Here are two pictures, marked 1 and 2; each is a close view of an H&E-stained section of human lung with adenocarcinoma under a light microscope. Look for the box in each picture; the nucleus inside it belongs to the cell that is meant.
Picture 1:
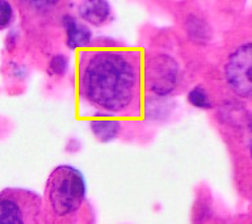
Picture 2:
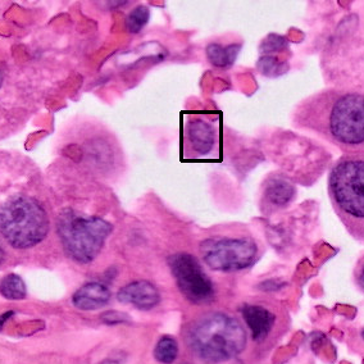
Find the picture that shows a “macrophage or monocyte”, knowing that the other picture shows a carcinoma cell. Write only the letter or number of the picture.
2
